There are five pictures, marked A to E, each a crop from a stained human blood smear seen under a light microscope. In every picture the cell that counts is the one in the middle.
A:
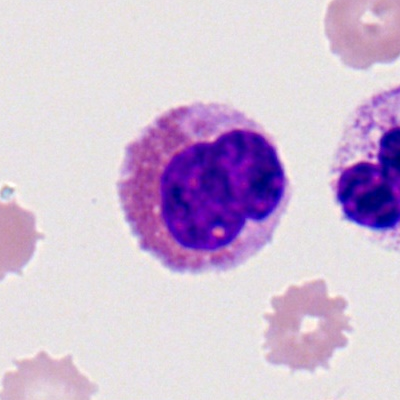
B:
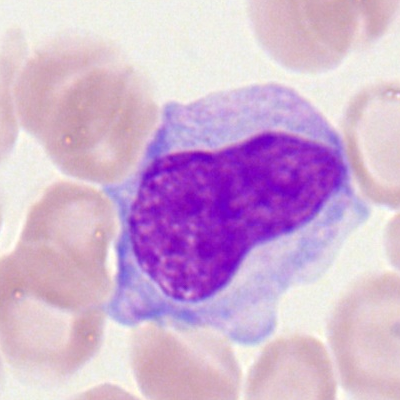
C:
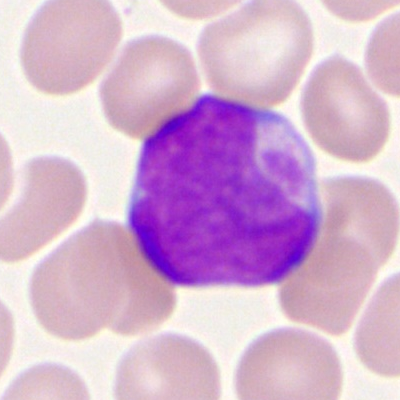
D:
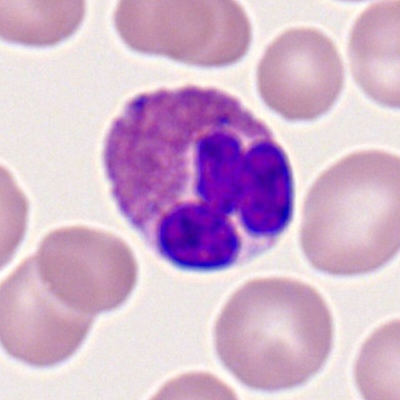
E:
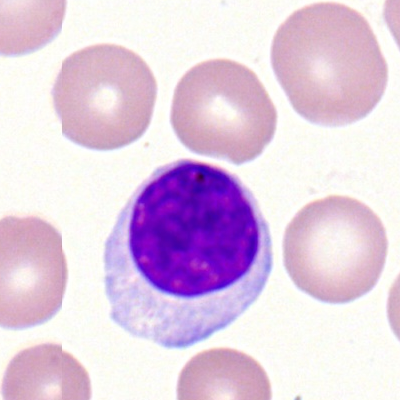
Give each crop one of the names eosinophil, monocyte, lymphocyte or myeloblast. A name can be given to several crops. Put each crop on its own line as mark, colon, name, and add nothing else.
A: eosinophil
B: monocyte
C: myeloblast
D: eosinophil
E: lymphocyte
